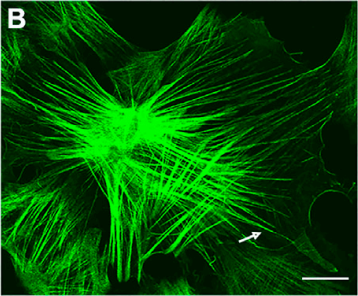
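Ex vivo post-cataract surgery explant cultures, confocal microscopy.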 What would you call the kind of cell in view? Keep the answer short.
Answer: Myofibroblasts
